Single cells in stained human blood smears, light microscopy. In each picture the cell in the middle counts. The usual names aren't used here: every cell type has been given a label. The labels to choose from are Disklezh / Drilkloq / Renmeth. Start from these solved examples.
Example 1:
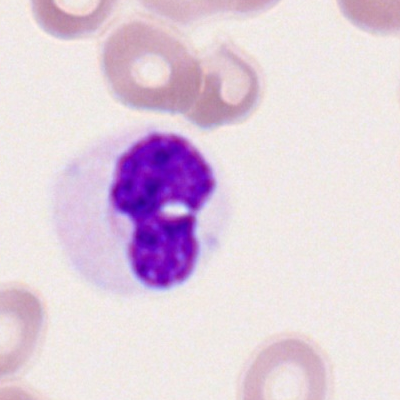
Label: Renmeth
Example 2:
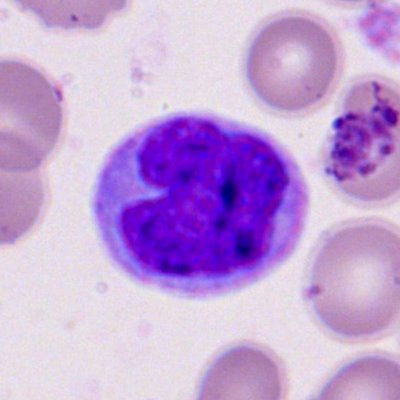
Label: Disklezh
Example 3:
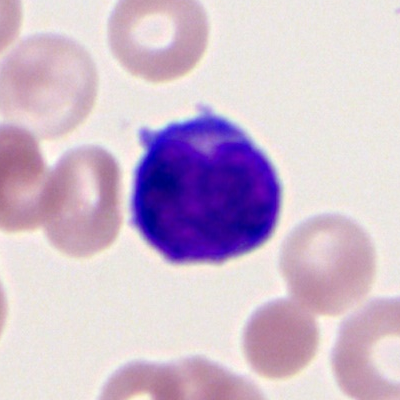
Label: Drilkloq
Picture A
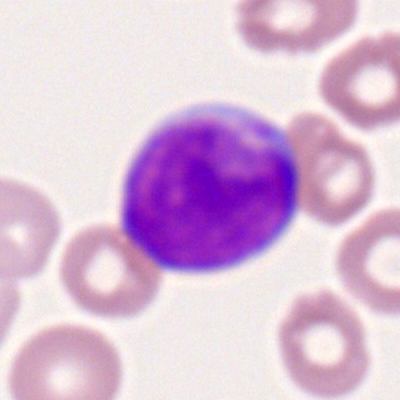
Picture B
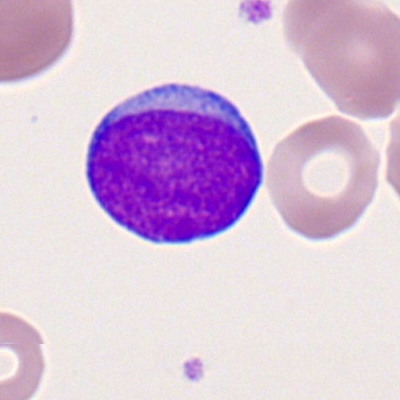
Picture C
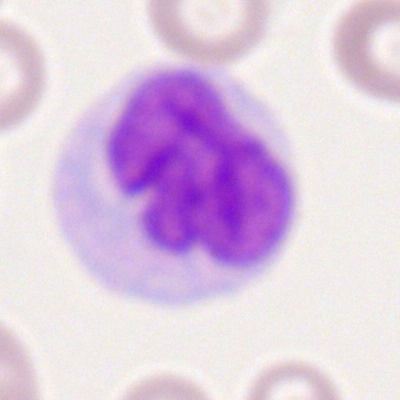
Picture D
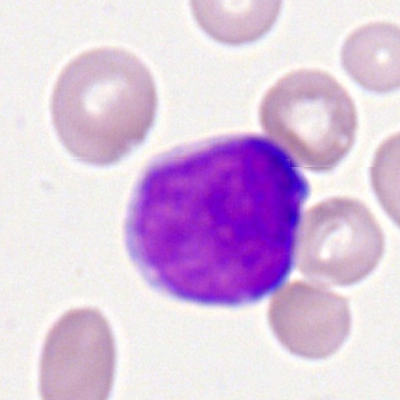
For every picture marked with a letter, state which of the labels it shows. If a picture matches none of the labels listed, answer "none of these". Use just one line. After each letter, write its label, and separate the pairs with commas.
A Drilkloq, B Drilkloq, C Disklezh, D Drilkloq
